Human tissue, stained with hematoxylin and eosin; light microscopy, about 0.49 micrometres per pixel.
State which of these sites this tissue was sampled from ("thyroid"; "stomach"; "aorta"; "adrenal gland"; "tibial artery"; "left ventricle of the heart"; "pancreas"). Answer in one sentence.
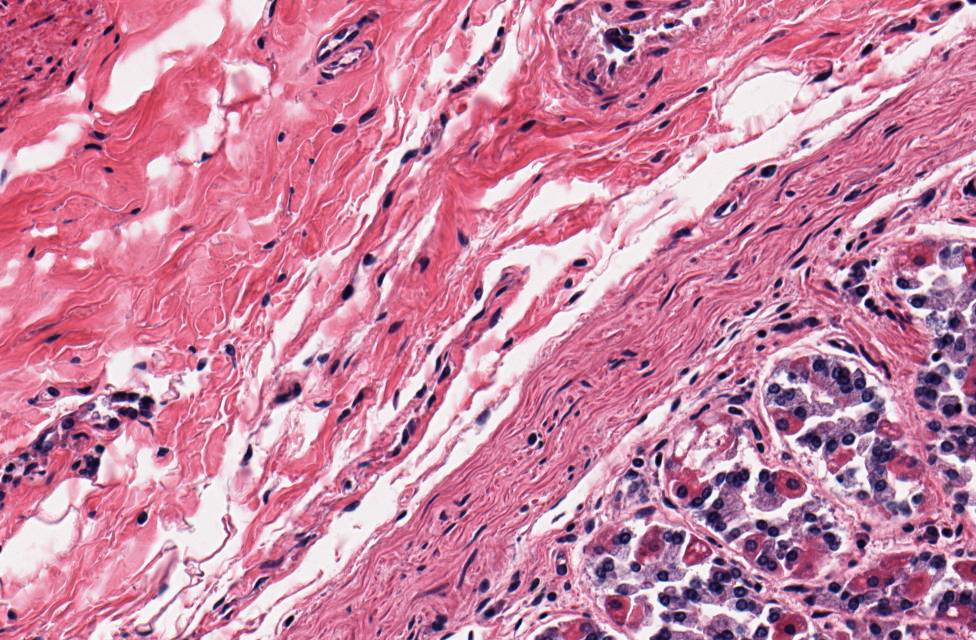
The site this tissue was sampled from is the stomach.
